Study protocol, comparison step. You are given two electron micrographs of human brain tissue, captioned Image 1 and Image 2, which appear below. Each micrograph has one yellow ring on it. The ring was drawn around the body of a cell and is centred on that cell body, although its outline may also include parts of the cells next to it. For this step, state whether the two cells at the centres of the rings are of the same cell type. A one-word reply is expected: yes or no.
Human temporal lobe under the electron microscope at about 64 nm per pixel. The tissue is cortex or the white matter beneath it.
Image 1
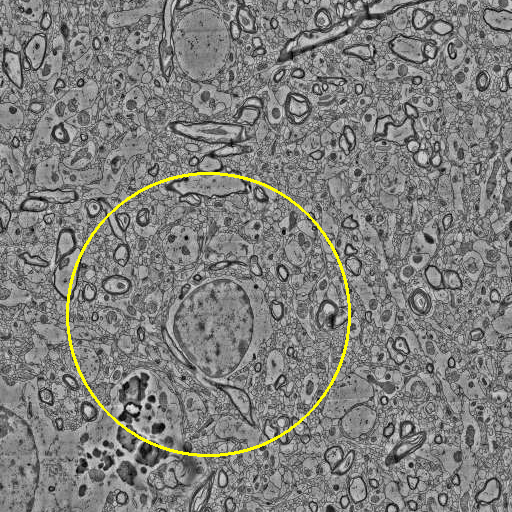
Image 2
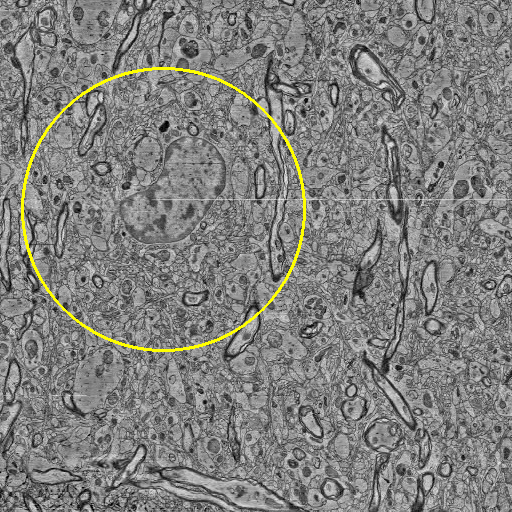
yes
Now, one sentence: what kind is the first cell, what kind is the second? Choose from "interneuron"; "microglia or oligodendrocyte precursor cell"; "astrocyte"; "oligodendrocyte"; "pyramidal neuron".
The cell at the ring centre is a microglial cell or oligodendrocyte precursor cell in both pictures.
